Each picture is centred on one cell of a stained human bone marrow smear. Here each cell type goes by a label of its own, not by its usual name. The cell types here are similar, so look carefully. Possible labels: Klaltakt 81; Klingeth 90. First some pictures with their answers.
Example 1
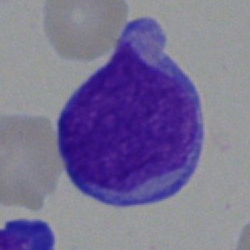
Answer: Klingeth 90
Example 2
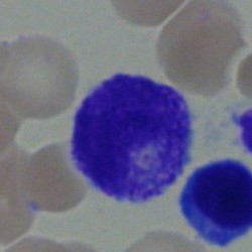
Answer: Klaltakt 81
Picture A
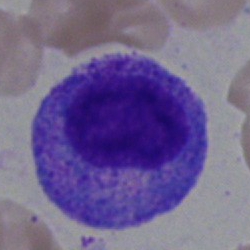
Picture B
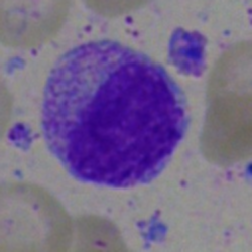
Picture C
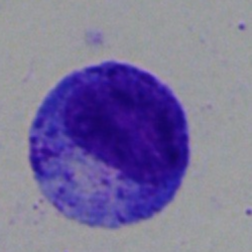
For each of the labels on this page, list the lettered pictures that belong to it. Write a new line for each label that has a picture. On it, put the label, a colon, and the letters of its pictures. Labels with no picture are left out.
Klaltakt 81: A, B, C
